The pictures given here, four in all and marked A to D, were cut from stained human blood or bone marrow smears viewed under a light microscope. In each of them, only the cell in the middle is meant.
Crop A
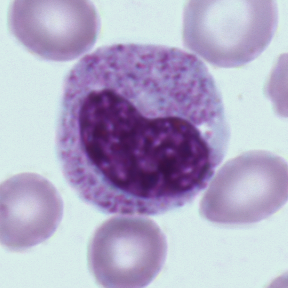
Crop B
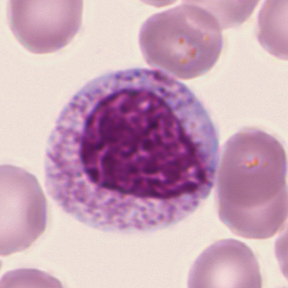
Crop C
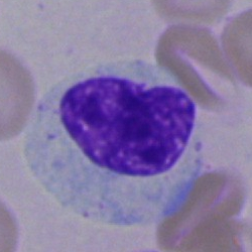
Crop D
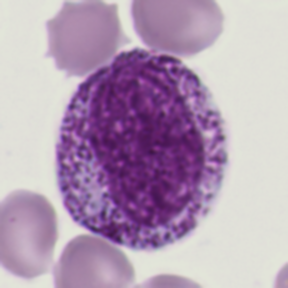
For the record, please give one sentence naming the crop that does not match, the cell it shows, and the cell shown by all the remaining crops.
Where the others show metamyelocytes, crop D shows a myelocyte.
